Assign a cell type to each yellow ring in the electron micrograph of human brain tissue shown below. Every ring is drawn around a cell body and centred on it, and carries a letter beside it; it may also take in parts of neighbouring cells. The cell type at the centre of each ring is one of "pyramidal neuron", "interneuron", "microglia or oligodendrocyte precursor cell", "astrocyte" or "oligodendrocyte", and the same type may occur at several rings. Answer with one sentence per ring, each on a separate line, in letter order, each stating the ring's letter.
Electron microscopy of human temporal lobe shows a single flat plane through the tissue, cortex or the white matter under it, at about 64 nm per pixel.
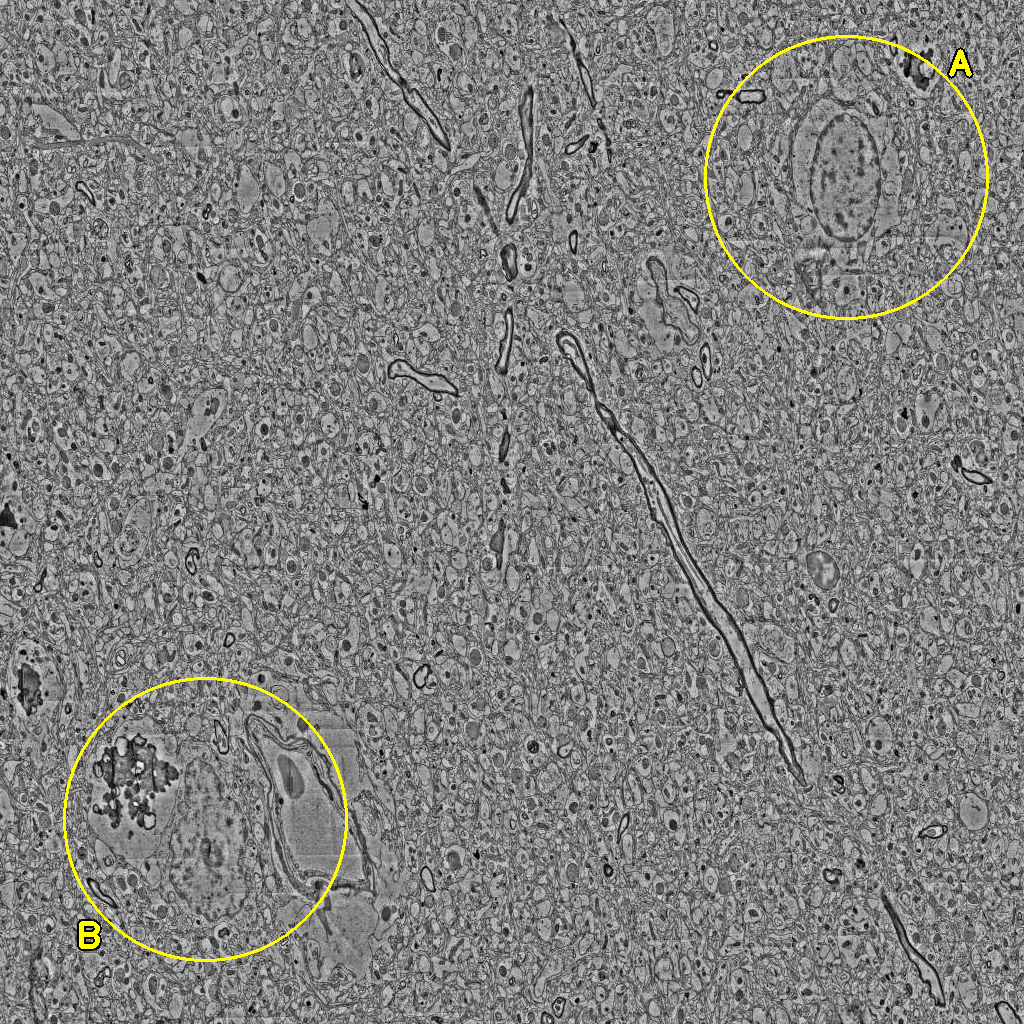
The cell at ring A's centre is an astrocyte.
The cell at ring B's centre is an interneuron.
